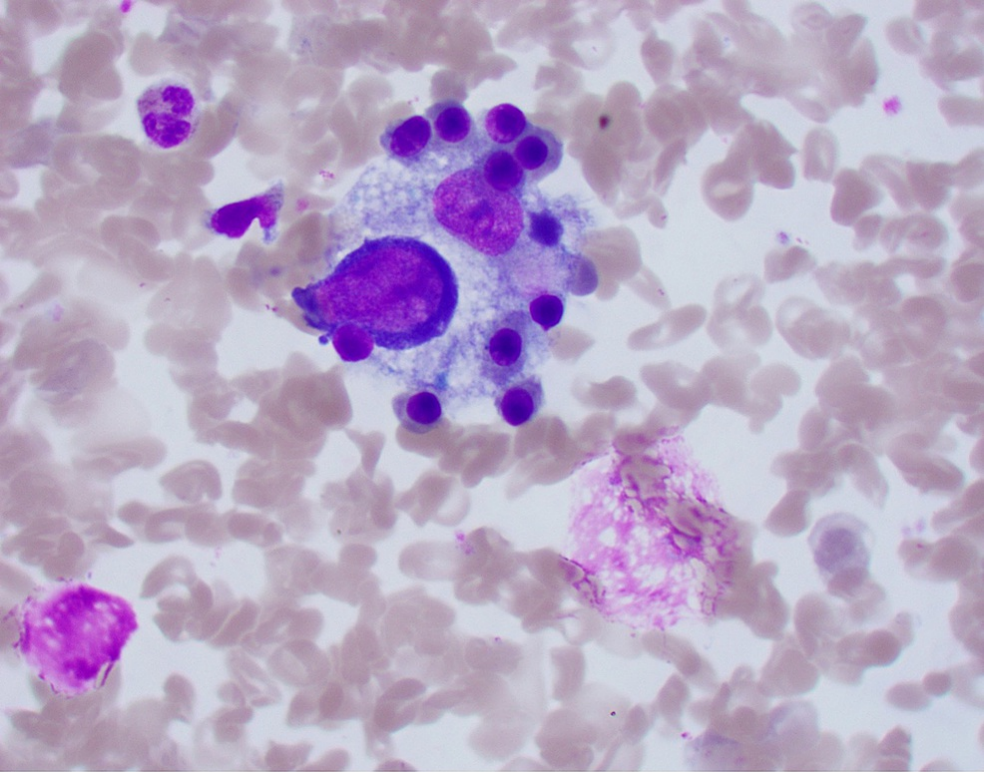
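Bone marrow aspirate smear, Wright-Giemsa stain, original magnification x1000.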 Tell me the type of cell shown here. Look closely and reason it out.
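A large cell in the upper centre has abundant pale blue cytoplasm full of small clear vacuoles. Its own nucleus is oval and pinkish-purple with finely dispersed chromatin. Many smaller round cells lie within and at the edge of its cytoplasm.
Large foamy macrophage.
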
